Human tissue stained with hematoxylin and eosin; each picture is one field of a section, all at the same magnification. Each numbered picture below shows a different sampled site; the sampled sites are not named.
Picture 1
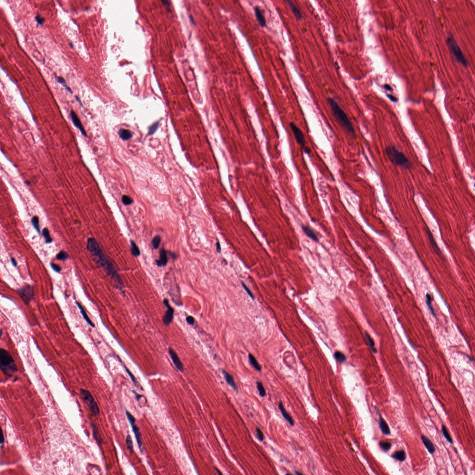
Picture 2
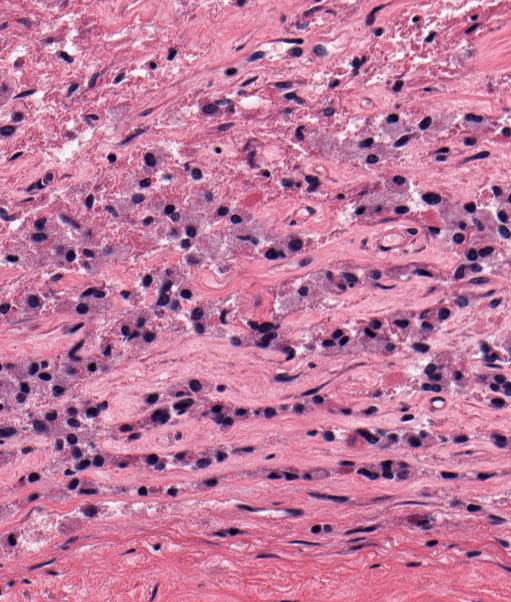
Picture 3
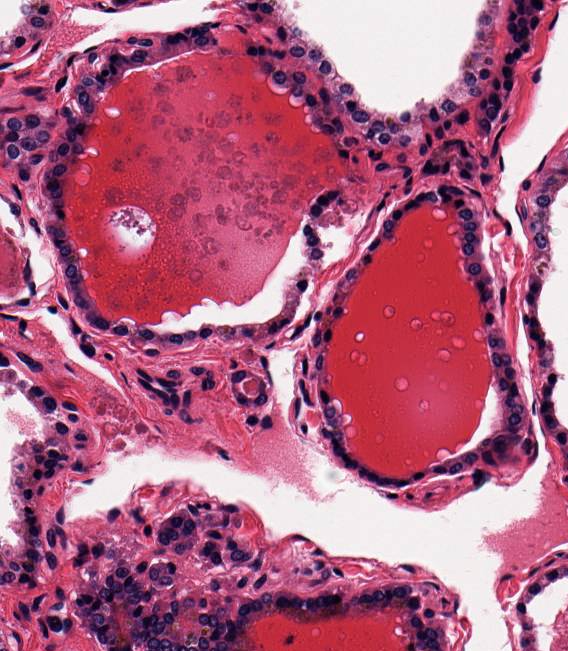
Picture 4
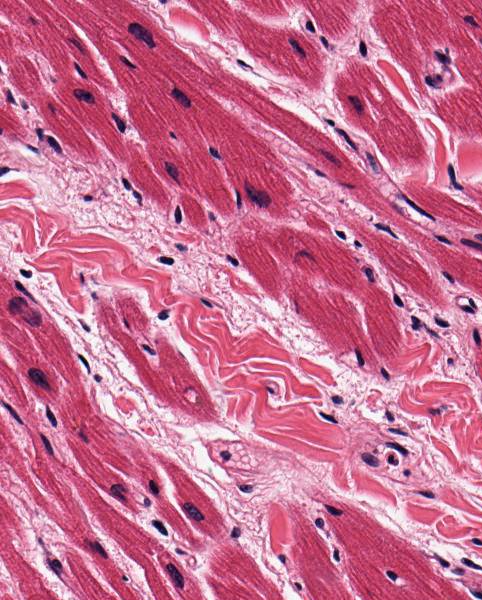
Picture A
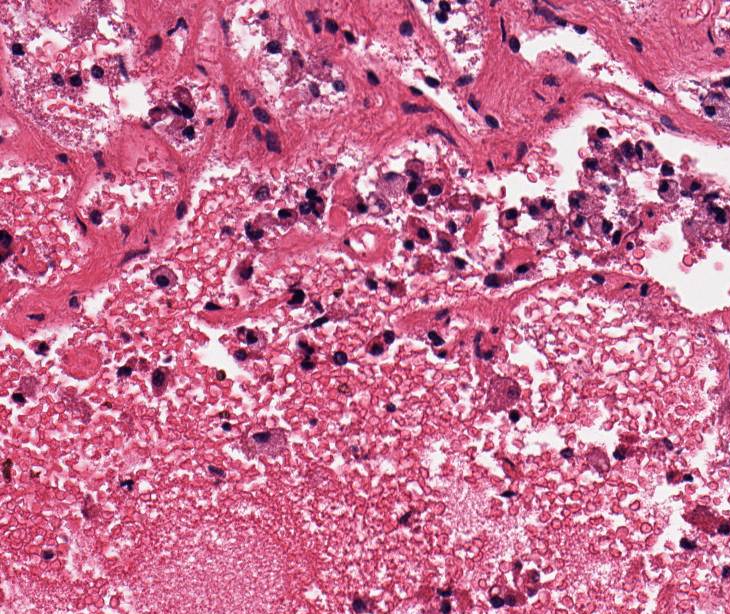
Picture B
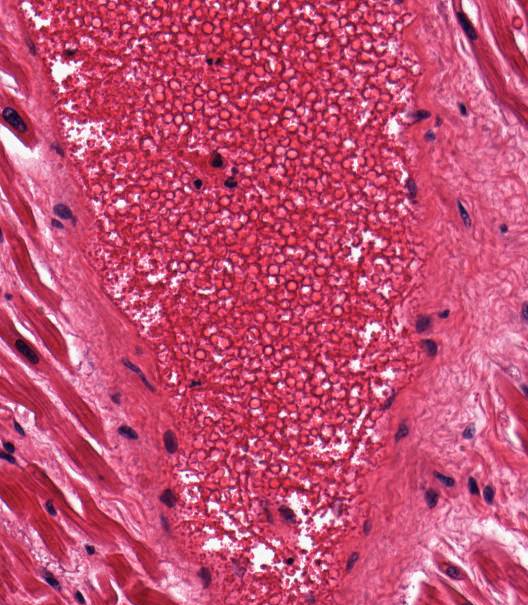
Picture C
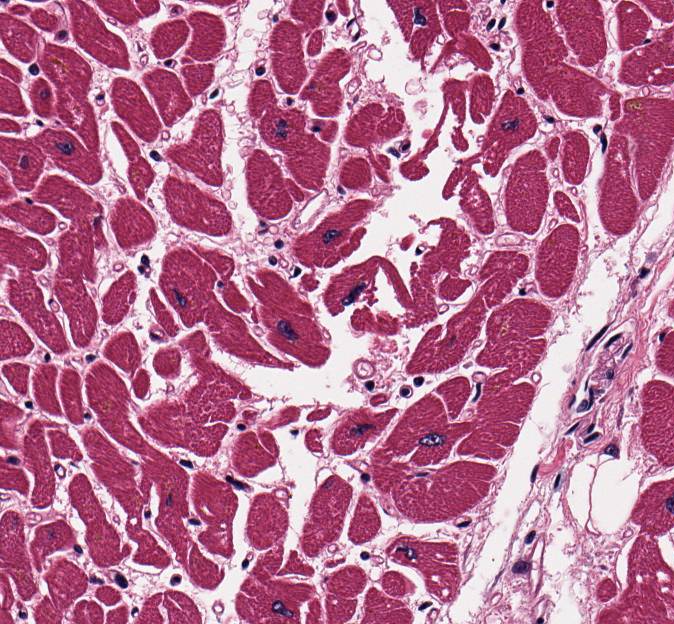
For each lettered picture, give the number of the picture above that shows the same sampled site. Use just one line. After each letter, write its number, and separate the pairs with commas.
A 2, B 4, C 1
